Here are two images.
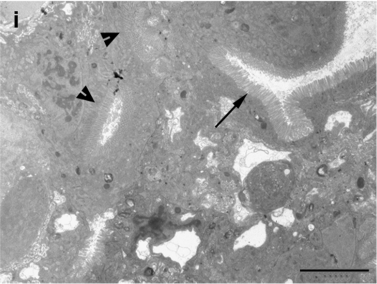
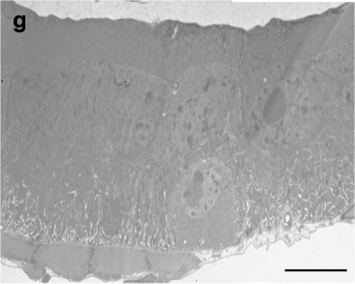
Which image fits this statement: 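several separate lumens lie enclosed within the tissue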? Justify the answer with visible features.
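Second image: a single orderly cell layer with no lumens enclosed inside it. First image: several small spaces lined by finger-like projections lie within the cell mass. So: the first image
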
